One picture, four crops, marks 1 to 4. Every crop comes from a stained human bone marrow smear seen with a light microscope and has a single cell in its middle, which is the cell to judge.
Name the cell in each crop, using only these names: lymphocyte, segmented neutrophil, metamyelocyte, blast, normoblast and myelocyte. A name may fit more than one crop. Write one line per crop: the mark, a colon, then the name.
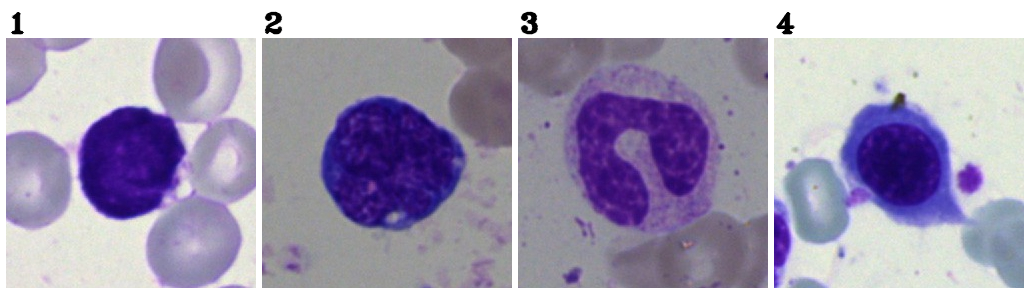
1: lymphocyte
2: blast
3: segmented neutrophil
4: normoblast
